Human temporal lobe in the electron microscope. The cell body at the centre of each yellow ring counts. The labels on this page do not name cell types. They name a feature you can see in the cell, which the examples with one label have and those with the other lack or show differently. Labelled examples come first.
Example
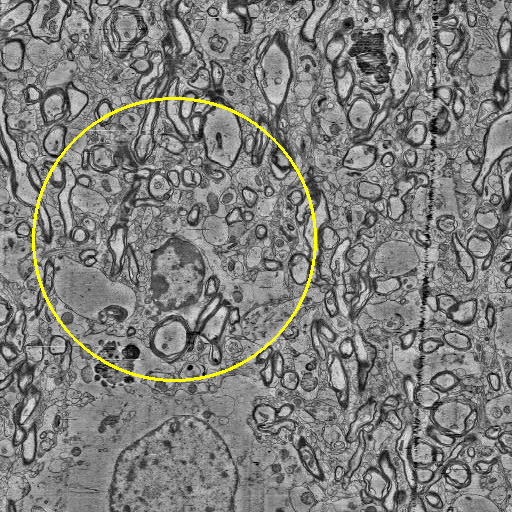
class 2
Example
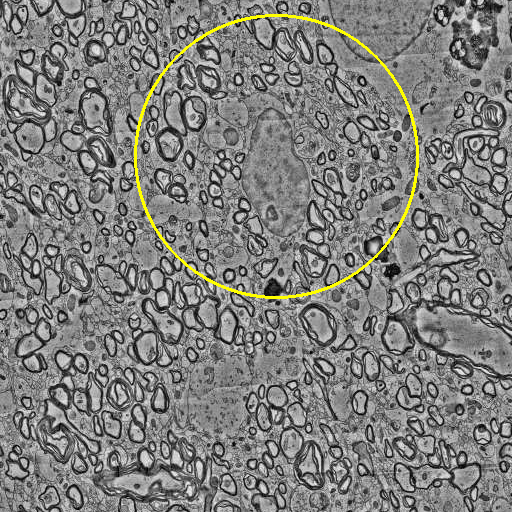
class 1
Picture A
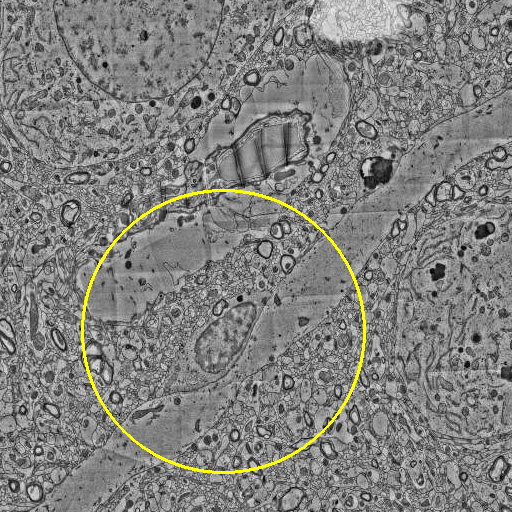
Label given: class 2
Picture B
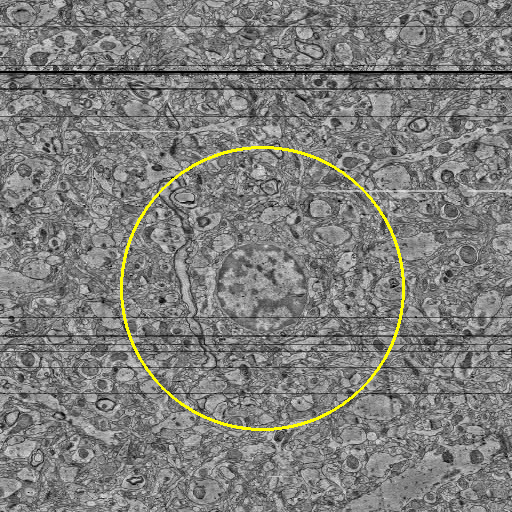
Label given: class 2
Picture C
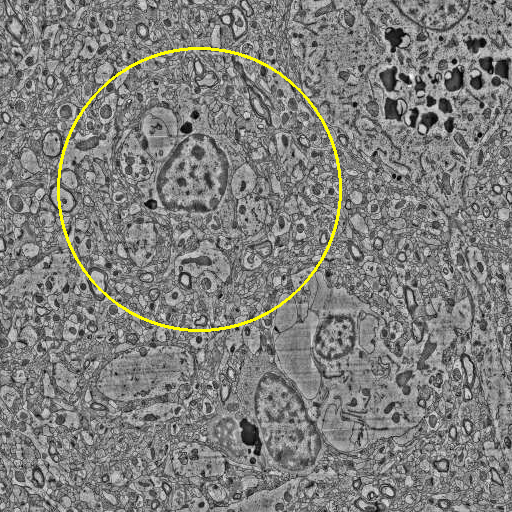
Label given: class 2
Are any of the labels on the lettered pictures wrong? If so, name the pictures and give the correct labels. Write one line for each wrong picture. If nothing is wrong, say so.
A is labelled class 2; correct label: class 1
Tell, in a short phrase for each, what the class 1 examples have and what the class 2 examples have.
class 1: clearly elongated nuclei; class 2: round or nearly round nuclei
